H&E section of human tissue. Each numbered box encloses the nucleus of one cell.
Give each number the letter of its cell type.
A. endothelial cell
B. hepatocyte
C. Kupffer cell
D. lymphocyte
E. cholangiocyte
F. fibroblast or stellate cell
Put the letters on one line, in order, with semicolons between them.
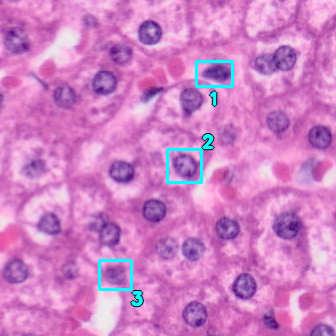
C; B; A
